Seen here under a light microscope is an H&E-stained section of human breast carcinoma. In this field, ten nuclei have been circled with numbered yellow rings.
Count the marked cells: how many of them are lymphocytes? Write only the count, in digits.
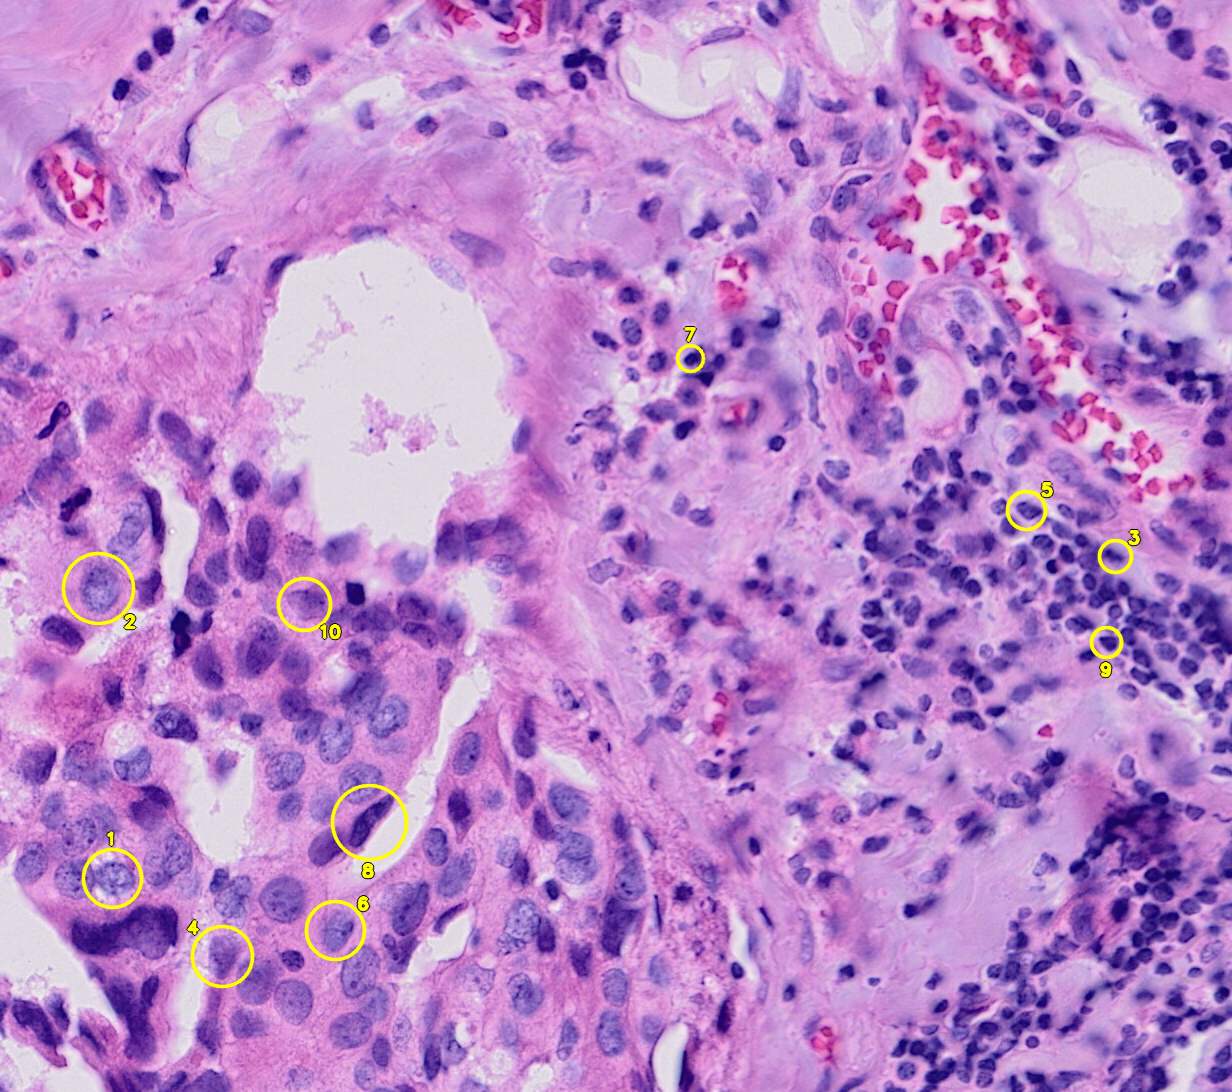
4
